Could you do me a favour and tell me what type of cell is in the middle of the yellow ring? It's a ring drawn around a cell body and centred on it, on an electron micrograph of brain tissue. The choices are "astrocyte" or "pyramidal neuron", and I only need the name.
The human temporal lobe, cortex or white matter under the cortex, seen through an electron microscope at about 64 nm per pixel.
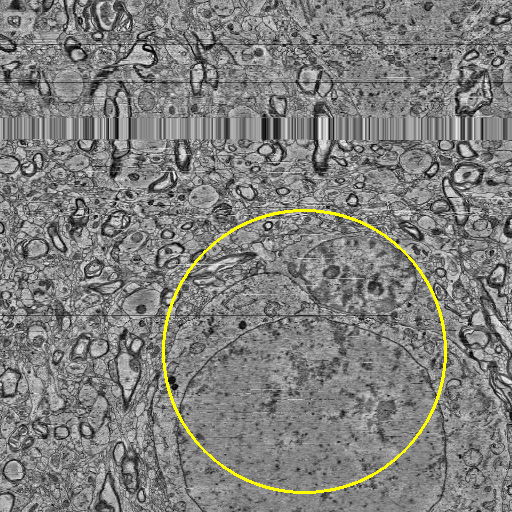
pyramidal neuron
